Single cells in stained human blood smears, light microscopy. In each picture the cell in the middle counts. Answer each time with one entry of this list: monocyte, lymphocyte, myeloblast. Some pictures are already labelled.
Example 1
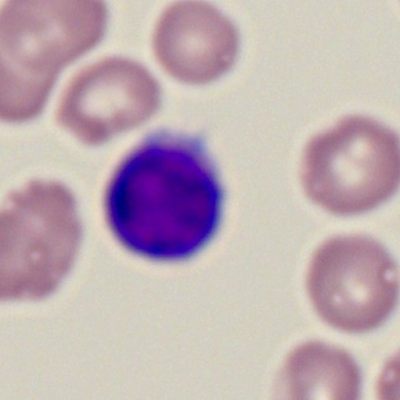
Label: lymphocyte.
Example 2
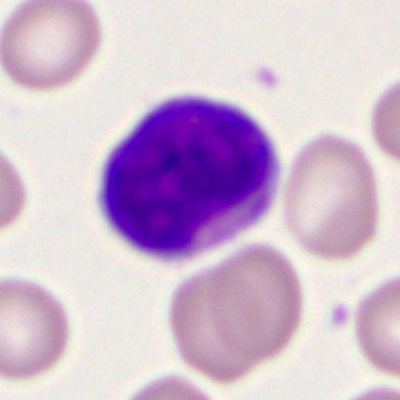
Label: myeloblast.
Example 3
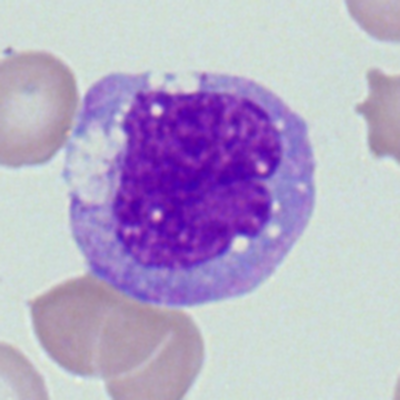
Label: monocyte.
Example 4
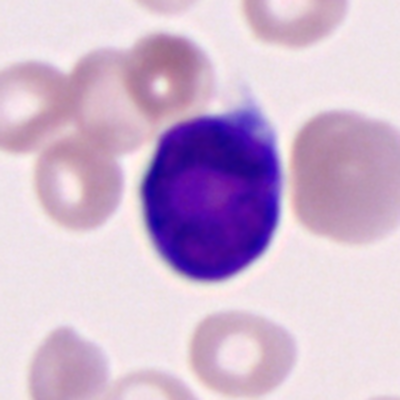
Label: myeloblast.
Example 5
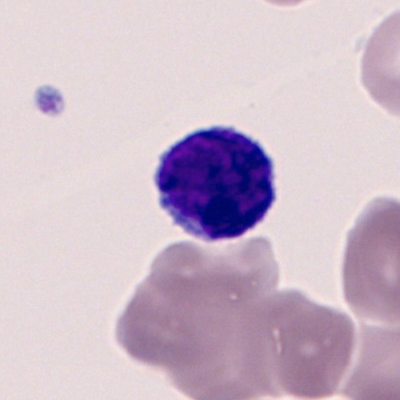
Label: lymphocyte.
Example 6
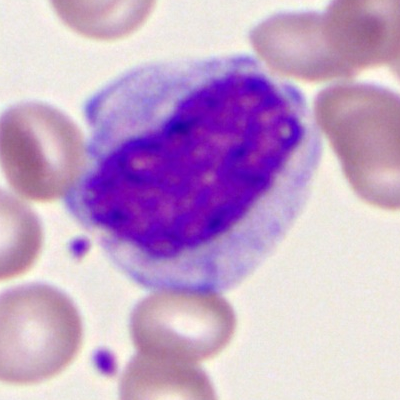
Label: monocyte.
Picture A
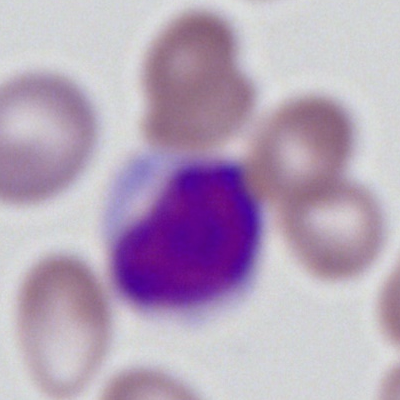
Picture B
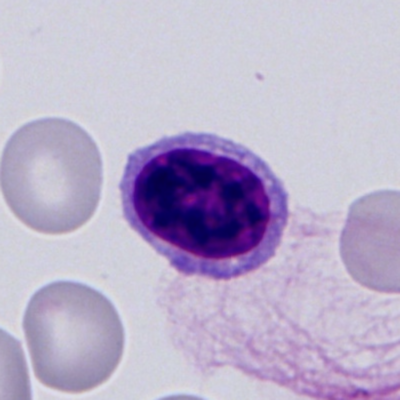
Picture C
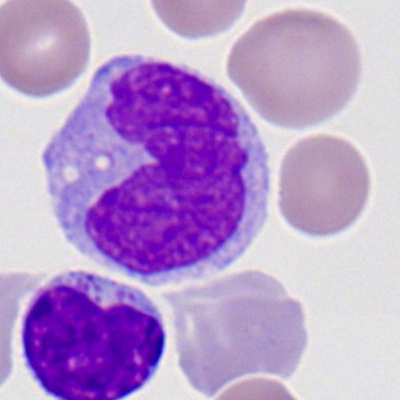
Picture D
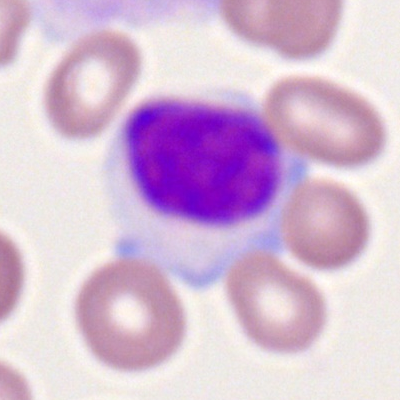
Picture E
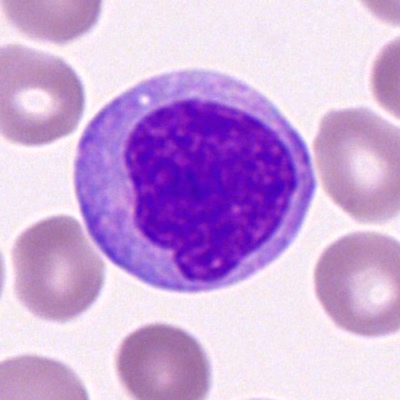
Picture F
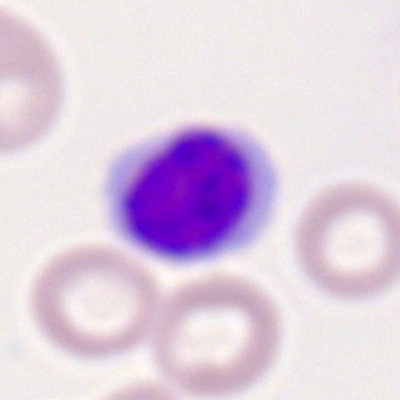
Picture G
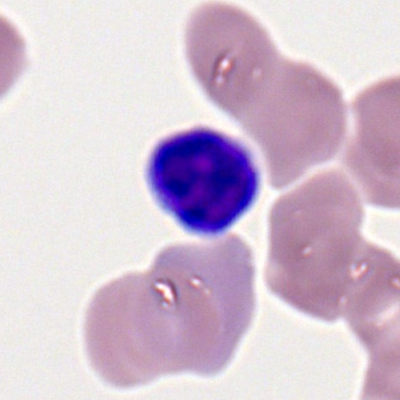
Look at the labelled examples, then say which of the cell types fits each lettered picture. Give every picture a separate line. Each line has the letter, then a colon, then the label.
A: lymphocyte.
B: lymphocyte.
C: monocyte.
D: lymphocyte.
E: myeloblast.
F: lymphocyte.
G: lymphocyte.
